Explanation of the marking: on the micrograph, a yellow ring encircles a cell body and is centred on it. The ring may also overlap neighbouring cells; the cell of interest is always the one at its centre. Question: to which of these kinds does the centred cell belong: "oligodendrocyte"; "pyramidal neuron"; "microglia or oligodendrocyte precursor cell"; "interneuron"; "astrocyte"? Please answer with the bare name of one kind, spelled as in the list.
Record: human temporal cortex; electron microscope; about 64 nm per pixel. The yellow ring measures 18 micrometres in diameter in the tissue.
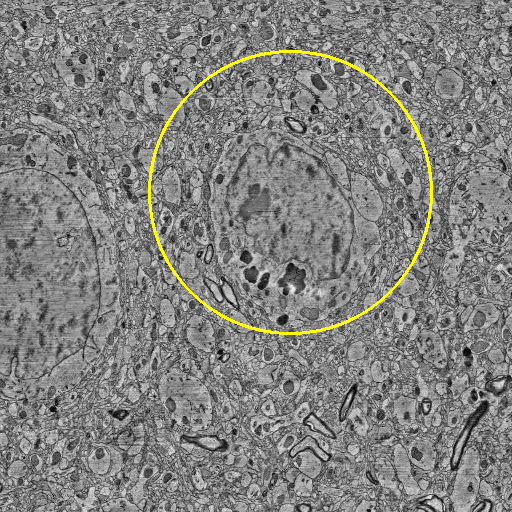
interneuron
